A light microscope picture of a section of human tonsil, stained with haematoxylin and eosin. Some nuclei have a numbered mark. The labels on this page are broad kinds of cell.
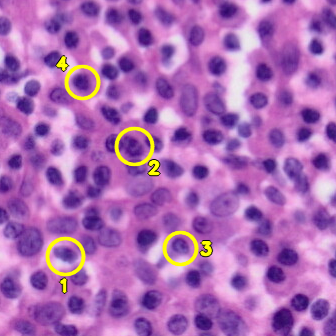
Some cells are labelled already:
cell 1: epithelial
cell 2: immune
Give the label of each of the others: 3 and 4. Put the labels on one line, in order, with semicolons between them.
immune; immune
